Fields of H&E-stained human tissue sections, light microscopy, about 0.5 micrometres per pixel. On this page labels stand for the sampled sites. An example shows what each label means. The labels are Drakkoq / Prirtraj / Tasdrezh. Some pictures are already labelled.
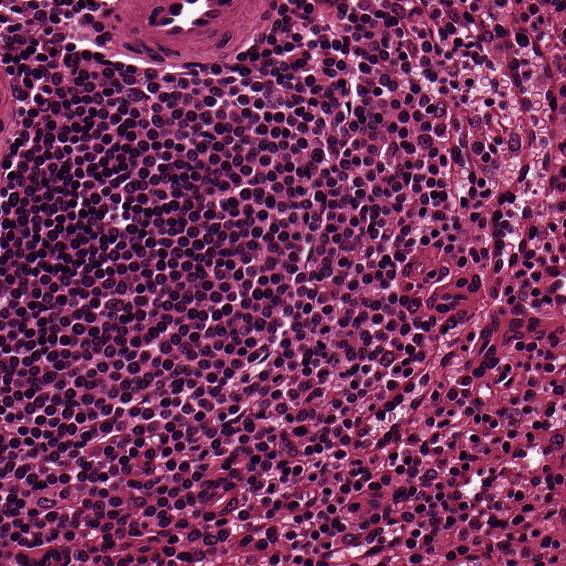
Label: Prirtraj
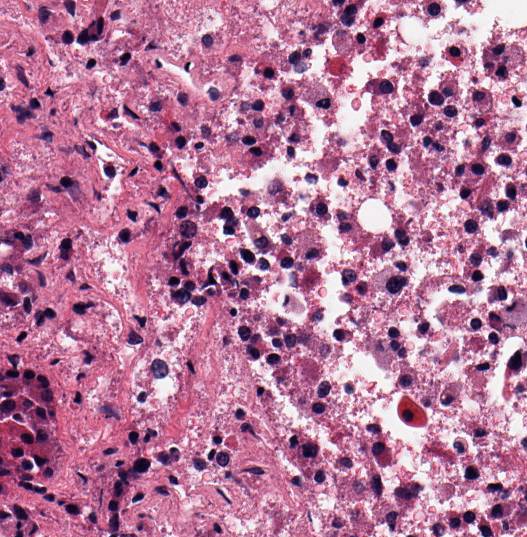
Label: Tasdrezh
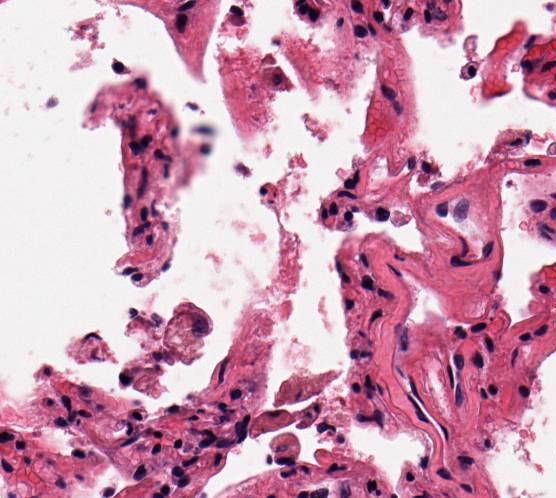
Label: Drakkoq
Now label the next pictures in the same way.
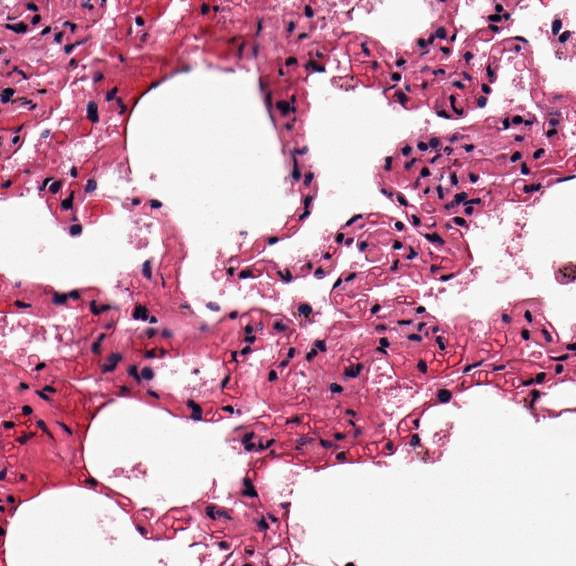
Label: Drakkoq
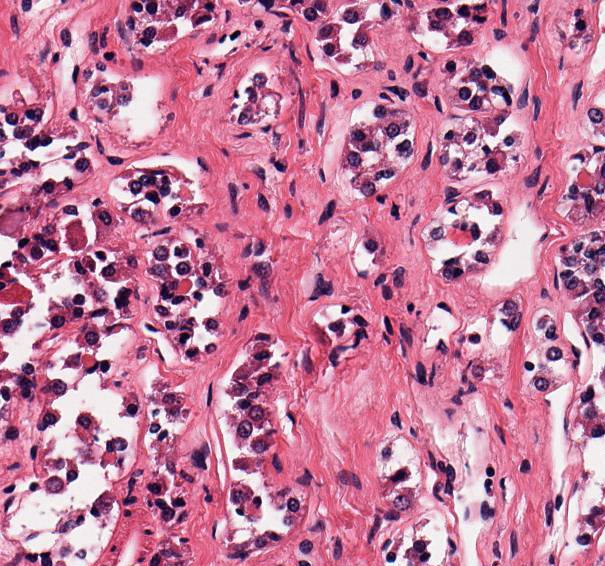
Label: Tasdrezh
